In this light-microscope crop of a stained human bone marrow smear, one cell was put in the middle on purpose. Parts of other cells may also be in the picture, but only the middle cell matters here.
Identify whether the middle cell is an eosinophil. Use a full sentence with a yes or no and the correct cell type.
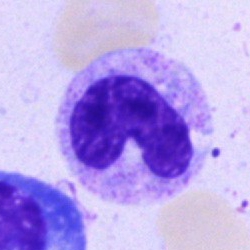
No, instead of being an eosinophil, the middle cell is a band neutrophil.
